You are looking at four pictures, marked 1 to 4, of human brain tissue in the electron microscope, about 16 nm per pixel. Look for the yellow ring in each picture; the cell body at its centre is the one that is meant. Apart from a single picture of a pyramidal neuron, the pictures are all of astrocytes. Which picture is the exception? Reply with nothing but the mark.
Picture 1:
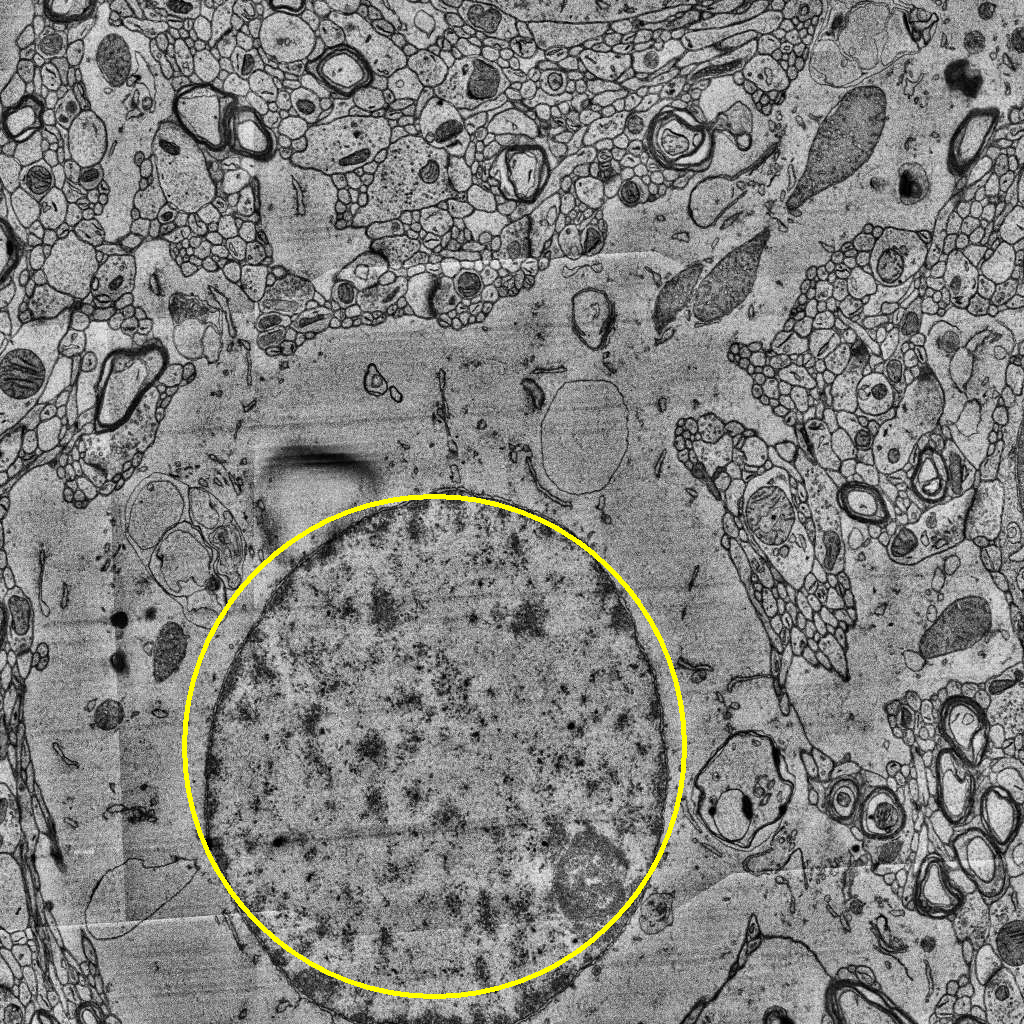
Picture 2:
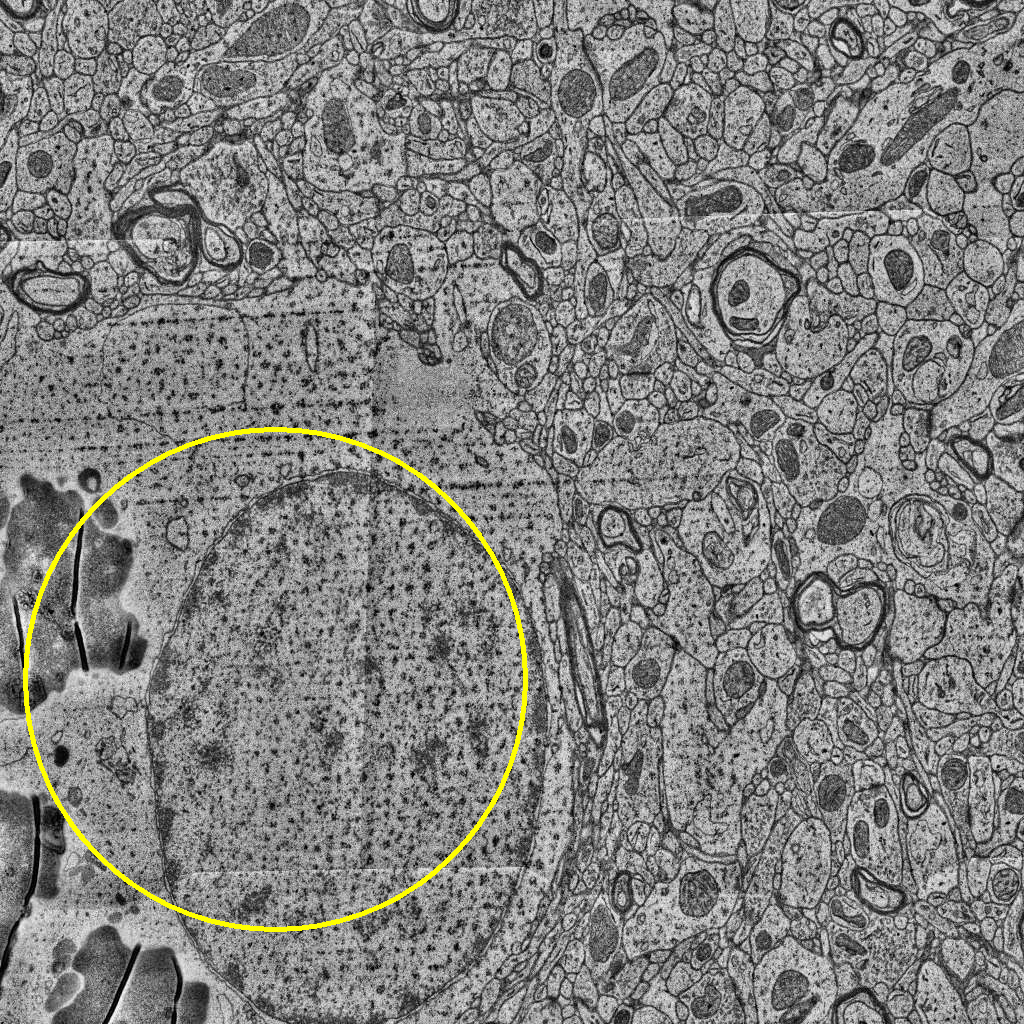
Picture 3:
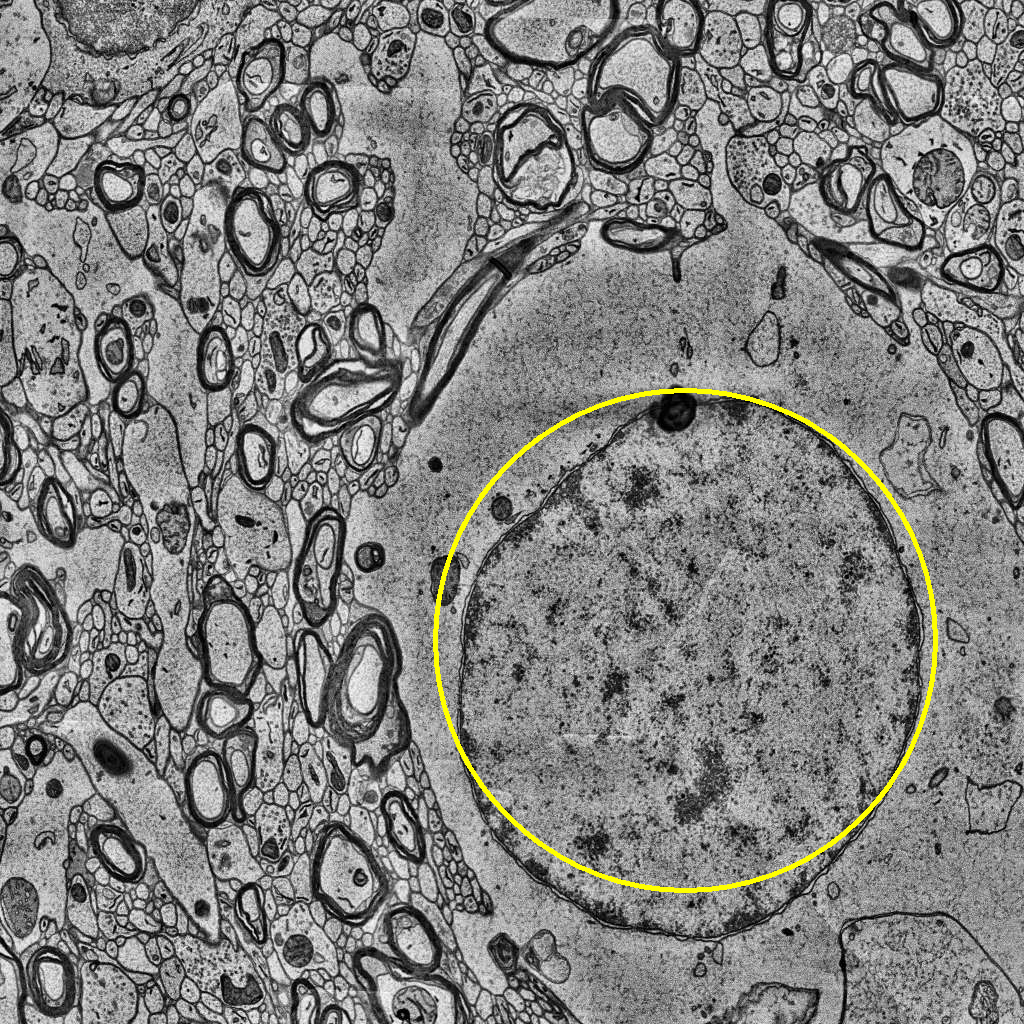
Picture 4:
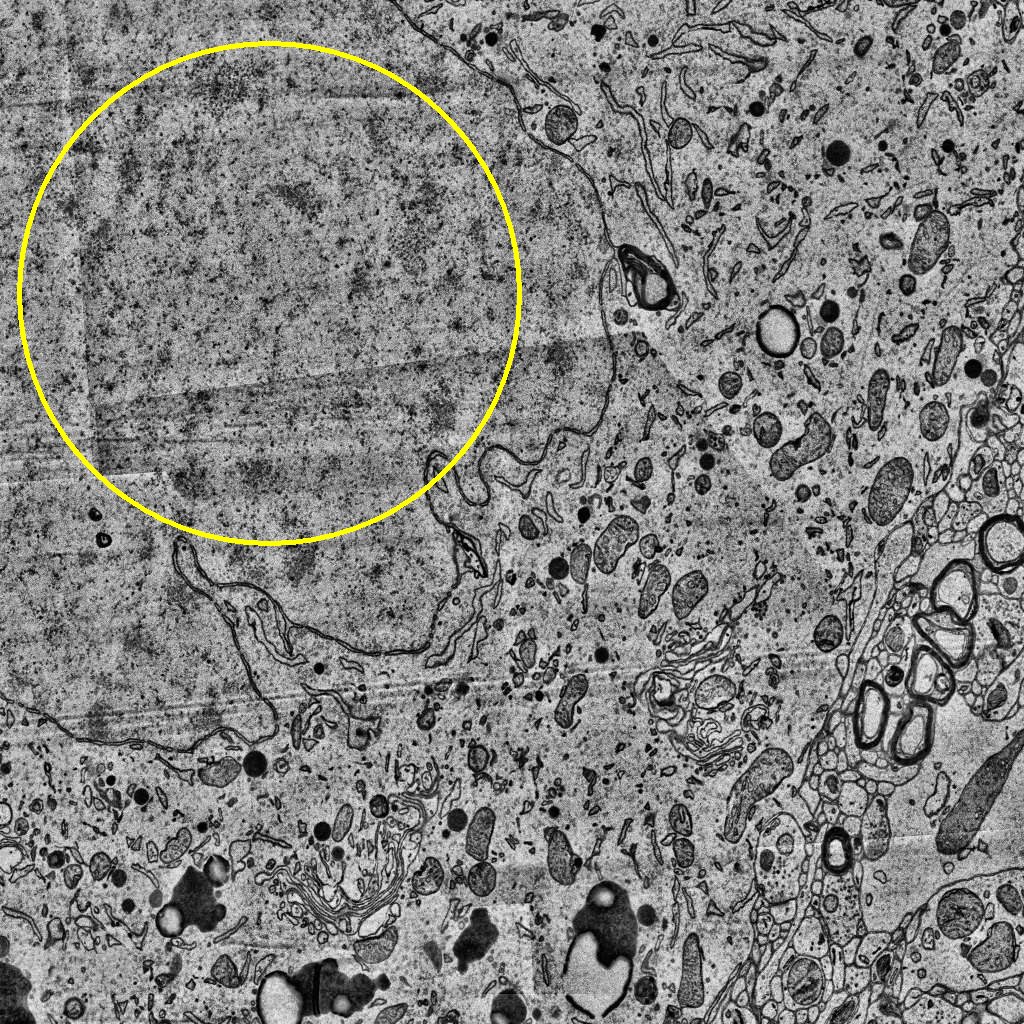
4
